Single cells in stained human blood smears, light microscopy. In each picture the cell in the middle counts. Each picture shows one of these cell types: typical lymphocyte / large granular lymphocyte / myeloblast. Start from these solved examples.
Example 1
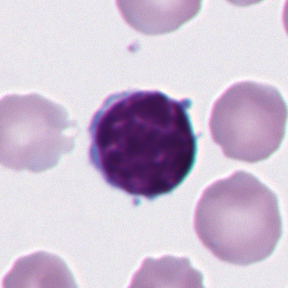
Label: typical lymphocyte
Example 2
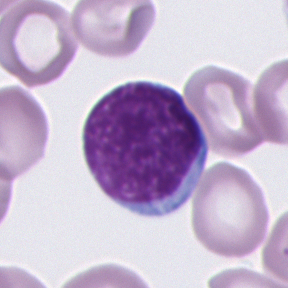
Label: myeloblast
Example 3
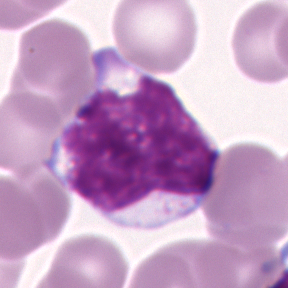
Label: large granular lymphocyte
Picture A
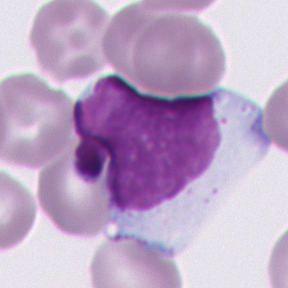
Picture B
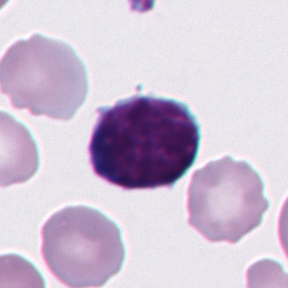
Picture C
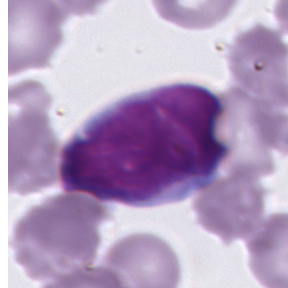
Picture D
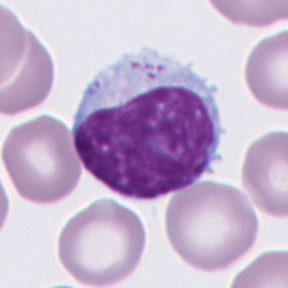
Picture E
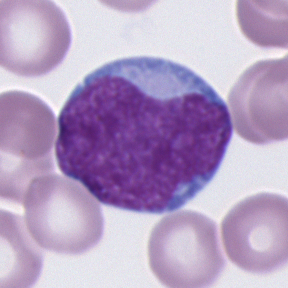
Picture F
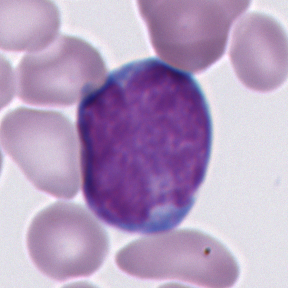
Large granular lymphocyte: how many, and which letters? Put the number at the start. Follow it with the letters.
2, namely A, D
